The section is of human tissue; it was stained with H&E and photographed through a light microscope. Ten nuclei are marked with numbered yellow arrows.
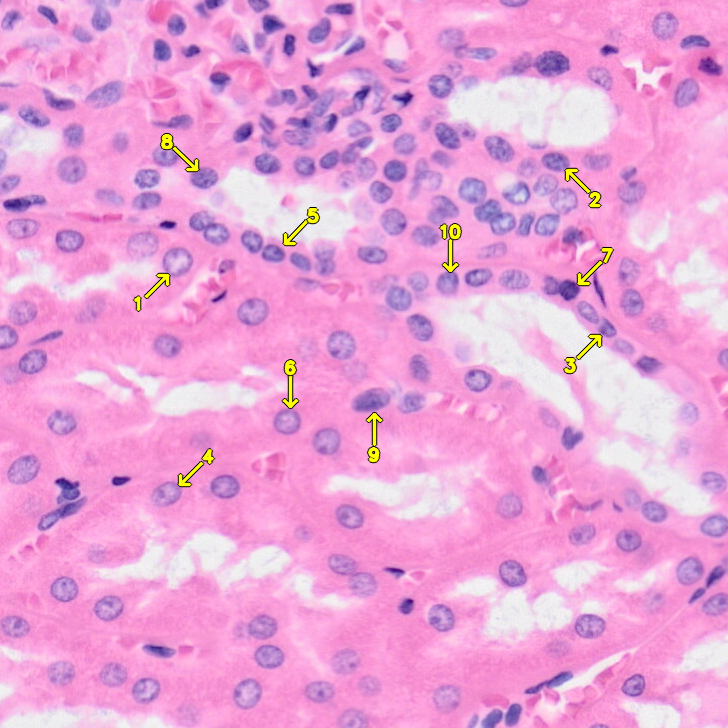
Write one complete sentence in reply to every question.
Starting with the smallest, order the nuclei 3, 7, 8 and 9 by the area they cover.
Smallest first, the nuclei run 3, 7, 8, 9.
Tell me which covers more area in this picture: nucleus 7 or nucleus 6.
It is nucleus 6, which covers about 1.5 times the area of nucleus 7.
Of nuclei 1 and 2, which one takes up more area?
Nucleus 1 covers more area, about 1.5 times as much as nucleus 2.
